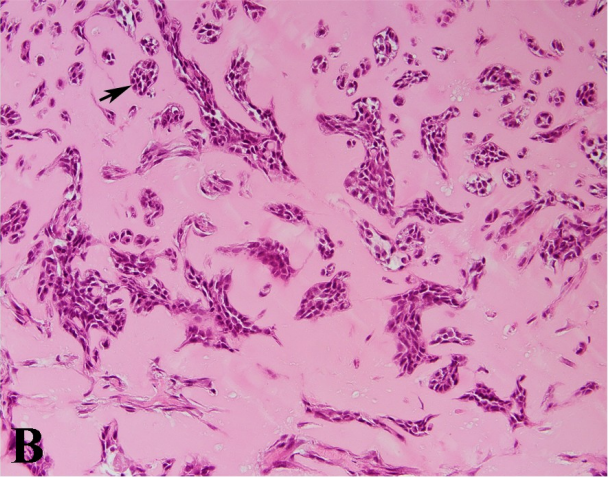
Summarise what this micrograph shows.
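Epithelial nests and small clusters of epithelial cells lie scattered in a pale pink, homogeneous matrix. The cells have oval purple nuclei and scant pink cytoplasm.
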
